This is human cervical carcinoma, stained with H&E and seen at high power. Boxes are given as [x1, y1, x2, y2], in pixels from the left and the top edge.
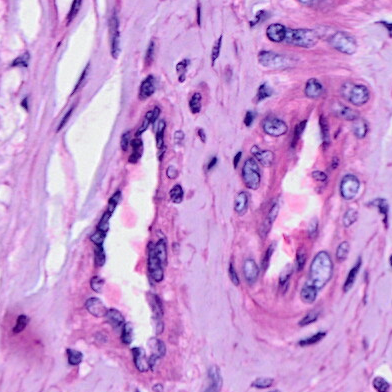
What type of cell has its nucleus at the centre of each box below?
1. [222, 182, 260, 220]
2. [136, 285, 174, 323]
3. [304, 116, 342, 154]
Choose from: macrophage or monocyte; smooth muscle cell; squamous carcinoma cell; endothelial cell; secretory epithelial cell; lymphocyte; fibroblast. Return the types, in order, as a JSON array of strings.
["smooth muscle cell", "endothelial cell", "endothelial cell"]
